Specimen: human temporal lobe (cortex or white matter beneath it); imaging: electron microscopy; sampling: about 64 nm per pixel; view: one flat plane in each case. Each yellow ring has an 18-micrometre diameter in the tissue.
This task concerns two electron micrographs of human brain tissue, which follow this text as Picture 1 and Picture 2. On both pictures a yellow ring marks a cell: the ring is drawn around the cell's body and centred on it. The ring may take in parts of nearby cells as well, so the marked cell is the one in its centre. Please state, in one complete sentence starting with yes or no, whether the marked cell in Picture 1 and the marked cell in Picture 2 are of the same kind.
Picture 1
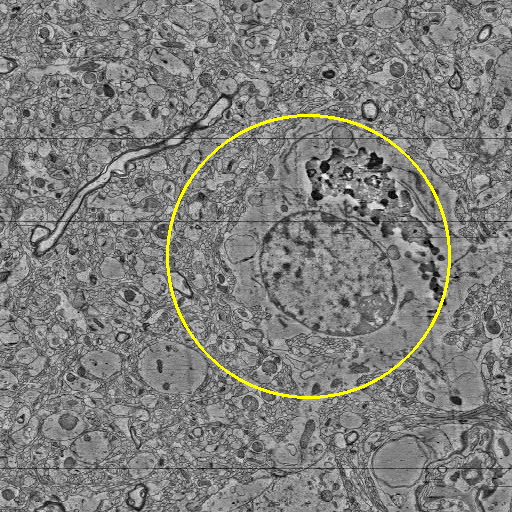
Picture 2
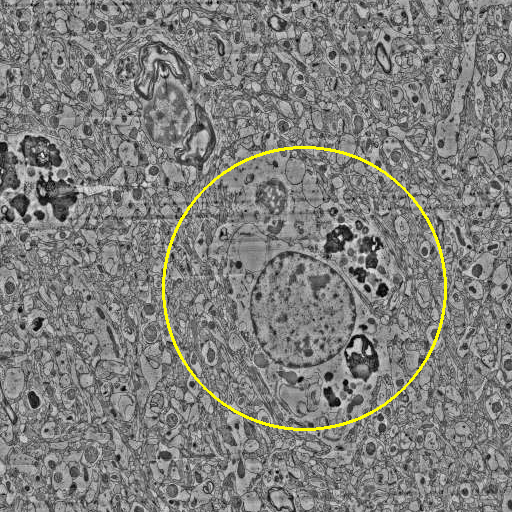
Yes, the marked cells in both pictures are of the same kind.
